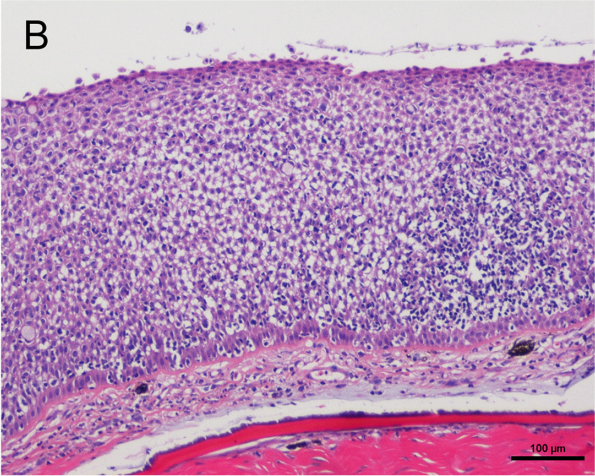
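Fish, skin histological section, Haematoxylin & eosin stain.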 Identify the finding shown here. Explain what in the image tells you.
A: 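Epidermal hyperplasia. The epithelial layer above the dermis is many cells thick. The thick cell layer far exceeds the thin connective tissue beneath it.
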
